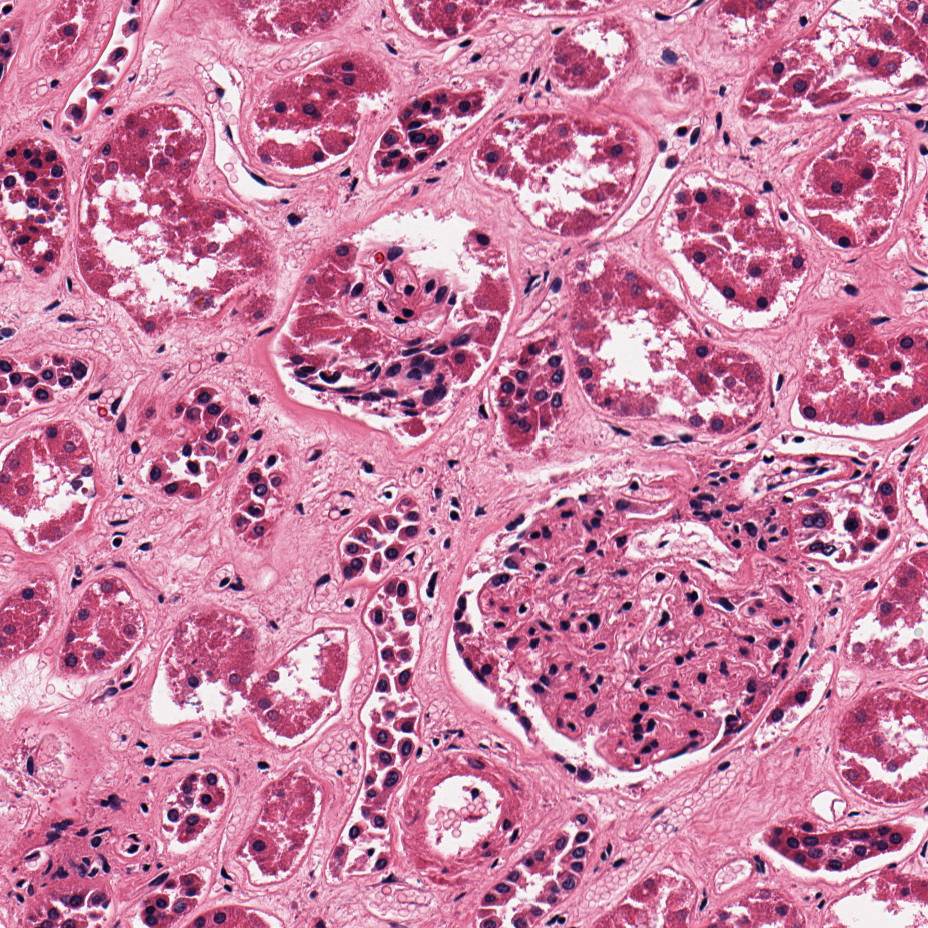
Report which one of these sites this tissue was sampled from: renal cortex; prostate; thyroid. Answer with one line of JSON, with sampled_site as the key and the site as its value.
{"sampled_site": "renal cortex"}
